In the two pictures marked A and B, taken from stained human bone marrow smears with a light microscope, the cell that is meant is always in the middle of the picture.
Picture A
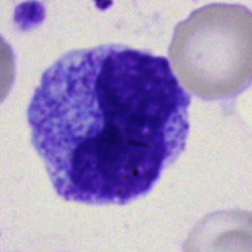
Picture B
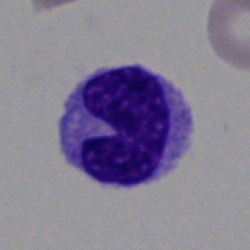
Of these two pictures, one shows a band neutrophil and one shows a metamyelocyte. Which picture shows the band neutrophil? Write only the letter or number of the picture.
B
